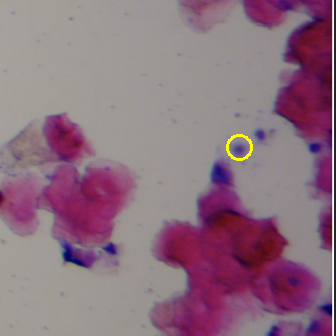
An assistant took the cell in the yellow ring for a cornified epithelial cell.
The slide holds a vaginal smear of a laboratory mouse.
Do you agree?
I disagree, it is a leukocyte.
